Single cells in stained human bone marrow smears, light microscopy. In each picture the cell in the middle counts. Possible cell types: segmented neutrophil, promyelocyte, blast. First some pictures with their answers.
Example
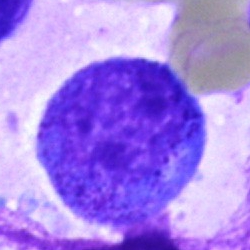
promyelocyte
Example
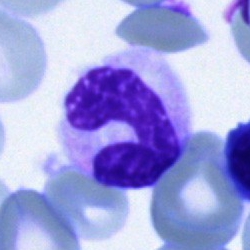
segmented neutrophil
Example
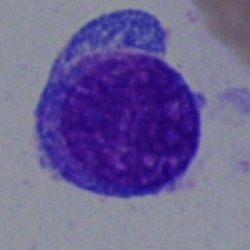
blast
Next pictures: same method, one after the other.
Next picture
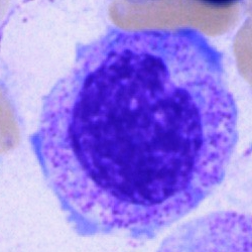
promyelocyte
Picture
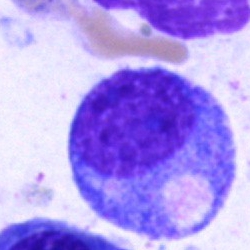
promyelocyte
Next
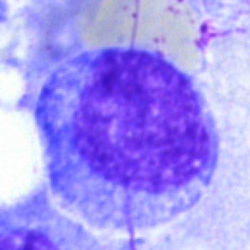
promyelocyte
